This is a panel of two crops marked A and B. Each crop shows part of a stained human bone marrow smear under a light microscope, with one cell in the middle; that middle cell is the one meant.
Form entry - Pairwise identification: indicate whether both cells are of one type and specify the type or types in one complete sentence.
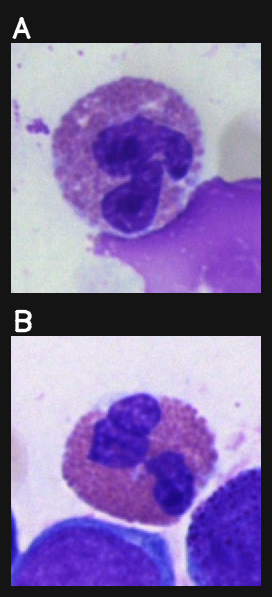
Yes, the two cells in the two crops are eosinophils.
